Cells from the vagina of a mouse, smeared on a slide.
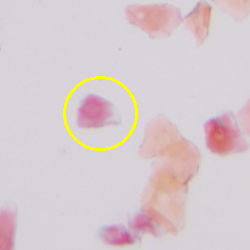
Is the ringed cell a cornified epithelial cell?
No, it is a nucleated epithelial cell.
